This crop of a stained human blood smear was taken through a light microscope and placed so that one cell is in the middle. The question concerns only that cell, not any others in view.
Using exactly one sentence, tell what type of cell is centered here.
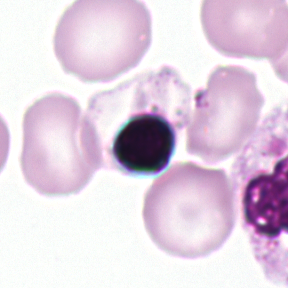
The crop centres on a single cell, and that cell is a normoblast.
